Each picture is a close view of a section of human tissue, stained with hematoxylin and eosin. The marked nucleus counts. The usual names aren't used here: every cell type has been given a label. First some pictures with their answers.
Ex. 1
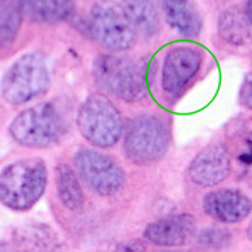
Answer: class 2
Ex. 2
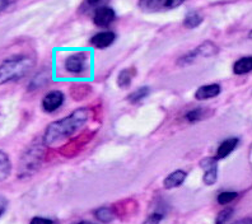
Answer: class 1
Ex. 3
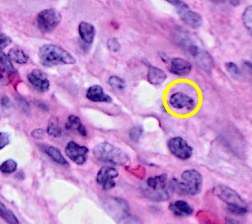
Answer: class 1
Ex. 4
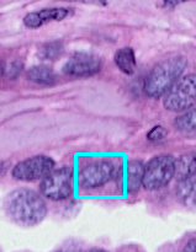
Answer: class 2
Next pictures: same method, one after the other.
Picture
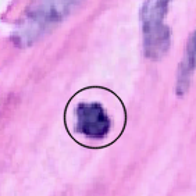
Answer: class 1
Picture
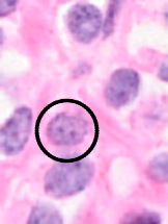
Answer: class 2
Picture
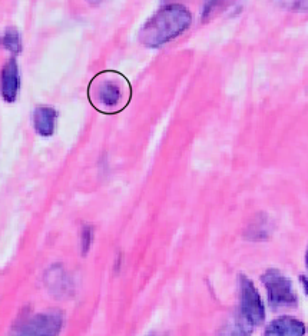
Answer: class 1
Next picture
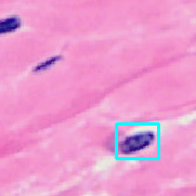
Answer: class 1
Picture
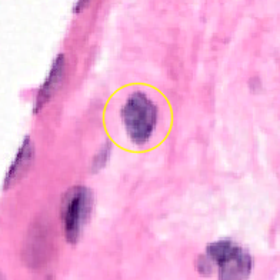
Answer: class 1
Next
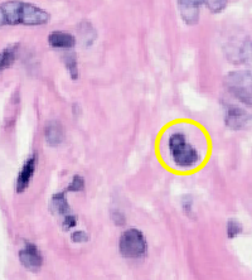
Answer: class 1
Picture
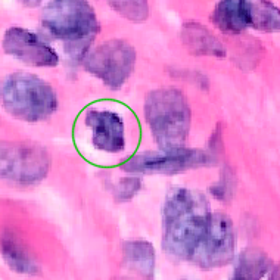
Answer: class 1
